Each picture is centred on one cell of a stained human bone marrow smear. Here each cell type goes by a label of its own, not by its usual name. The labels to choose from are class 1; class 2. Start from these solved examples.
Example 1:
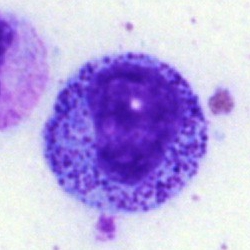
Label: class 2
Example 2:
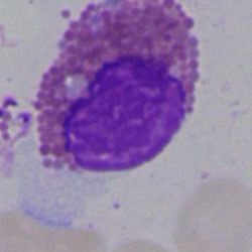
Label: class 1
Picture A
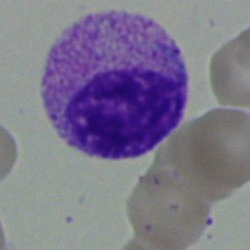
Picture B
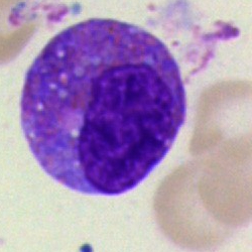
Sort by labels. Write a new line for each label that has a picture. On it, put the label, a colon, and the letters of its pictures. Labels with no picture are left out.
class 1: B
class 2: A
